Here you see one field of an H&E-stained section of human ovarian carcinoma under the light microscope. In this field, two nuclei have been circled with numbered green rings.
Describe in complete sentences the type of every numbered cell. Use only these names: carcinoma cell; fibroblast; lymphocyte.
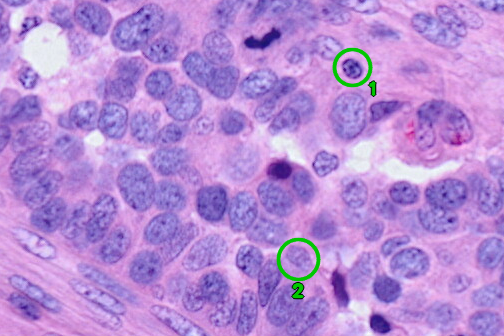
Cell 1 is a lymphocyte and cell 2 is a carcinoma cell.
